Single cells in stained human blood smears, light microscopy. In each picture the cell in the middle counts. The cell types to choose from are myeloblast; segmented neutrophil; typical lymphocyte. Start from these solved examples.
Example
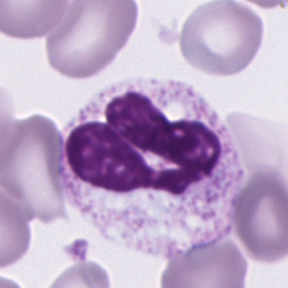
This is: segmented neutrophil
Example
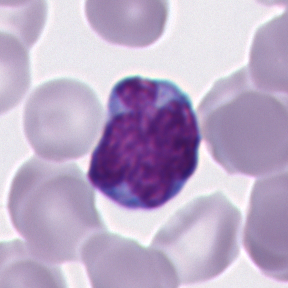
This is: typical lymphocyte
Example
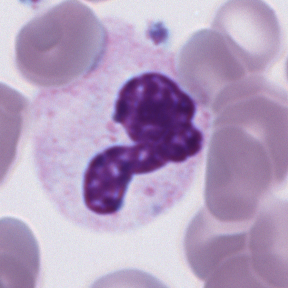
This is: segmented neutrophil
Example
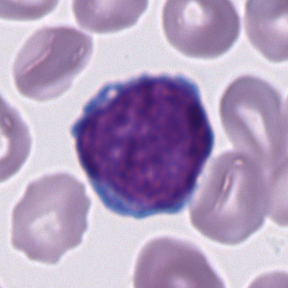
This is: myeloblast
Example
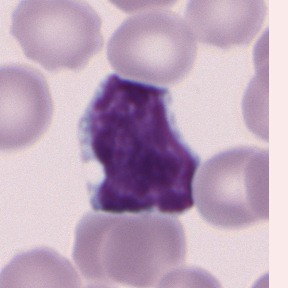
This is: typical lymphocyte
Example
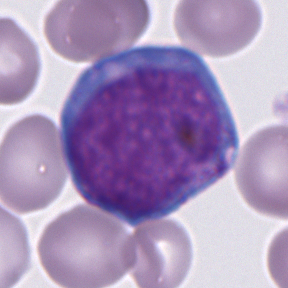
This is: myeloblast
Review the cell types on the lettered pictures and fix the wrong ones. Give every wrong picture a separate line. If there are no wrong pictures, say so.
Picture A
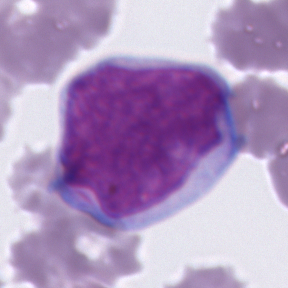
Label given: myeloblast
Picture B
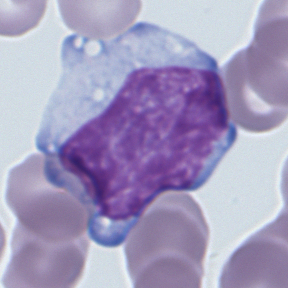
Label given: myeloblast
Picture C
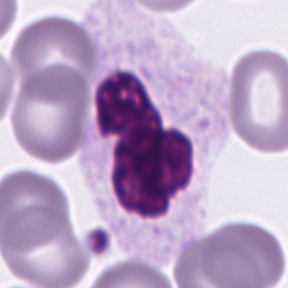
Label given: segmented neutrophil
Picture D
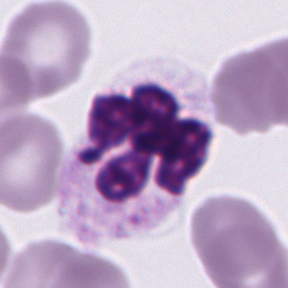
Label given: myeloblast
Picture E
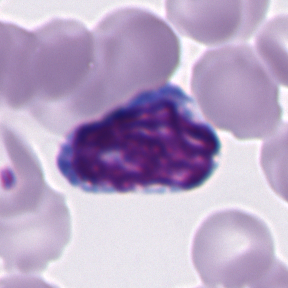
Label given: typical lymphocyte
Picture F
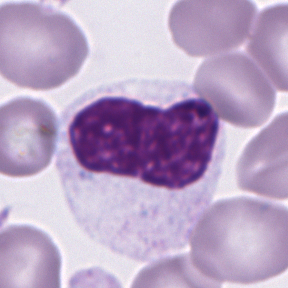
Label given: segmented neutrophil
D: segmented neutrophil, not myeloblast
